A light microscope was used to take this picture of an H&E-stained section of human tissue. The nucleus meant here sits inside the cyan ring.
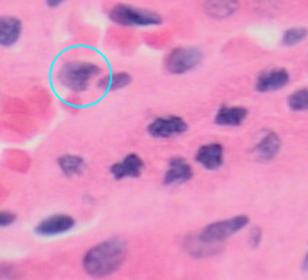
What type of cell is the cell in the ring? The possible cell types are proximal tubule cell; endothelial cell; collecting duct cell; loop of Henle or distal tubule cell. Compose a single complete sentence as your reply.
The cell type represented by the cell in the ring is that of an endothelial cell.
